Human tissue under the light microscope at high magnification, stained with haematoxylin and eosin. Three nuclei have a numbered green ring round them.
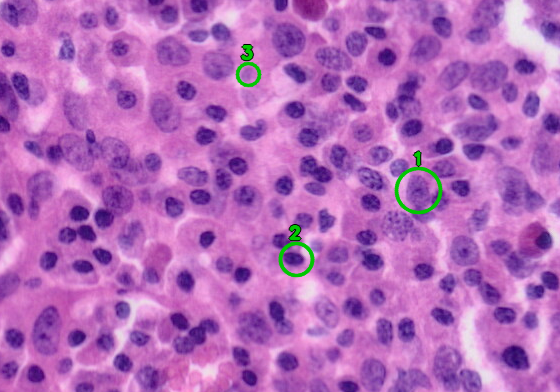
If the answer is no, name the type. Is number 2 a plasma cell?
Yes.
